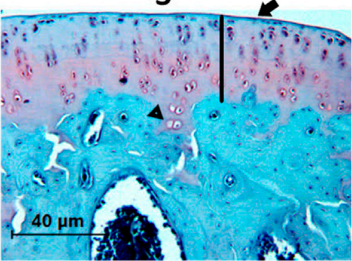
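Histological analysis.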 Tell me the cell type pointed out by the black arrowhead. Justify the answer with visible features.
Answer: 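Small round cells sit within pale rounded spaces. They lie in a smooth matrix above the bone.
Answer: chondrocytes inside the lacuna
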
